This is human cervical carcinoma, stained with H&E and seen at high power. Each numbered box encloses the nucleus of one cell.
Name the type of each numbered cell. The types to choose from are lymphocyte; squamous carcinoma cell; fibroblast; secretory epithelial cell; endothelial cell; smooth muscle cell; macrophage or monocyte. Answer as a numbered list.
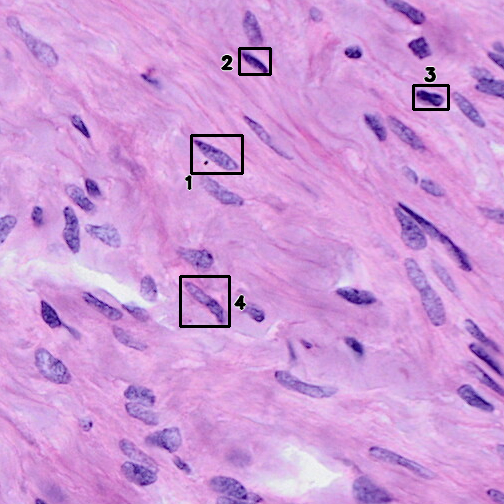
1. fibroblast
2. fibroblast
3. lymphocyte
4. smooth muscle cell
